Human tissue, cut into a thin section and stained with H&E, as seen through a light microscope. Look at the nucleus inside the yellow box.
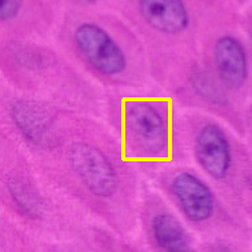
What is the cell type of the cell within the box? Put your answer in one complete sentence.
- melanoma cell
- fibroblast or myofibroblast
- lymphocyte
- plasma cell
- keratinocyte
Cell type answer for this item: the cell within the box is a keratinocyte.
